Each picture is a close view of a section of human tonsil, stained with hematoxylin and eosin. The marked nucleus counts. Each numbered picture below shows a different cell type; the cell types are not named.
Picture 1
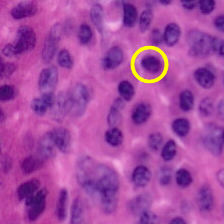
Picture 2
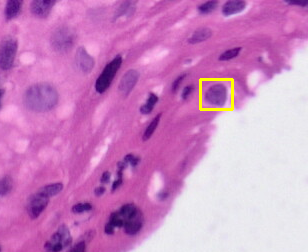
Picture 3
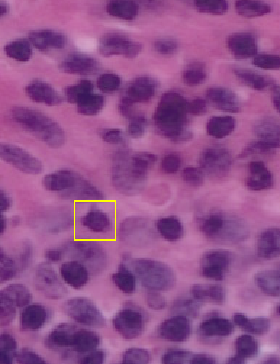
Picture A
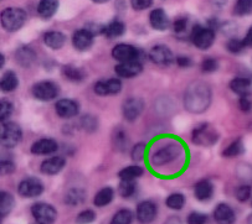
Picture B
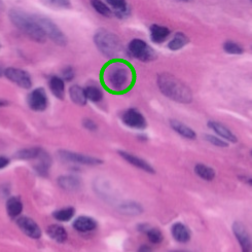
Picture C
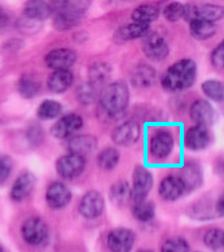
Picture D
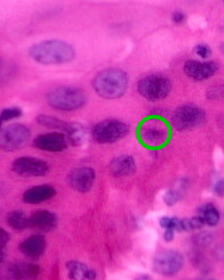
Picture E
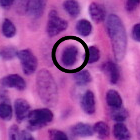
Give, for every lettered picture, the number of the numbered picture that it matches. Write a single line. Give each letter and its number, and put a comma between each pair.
A 3, B 3, C 1, D 2, E 3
